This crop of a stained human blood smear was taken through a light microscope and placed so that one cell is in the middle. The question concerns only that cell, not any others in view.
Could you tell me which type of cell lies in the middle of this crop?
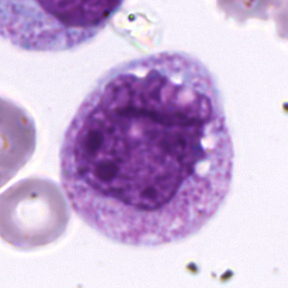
myelocyte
